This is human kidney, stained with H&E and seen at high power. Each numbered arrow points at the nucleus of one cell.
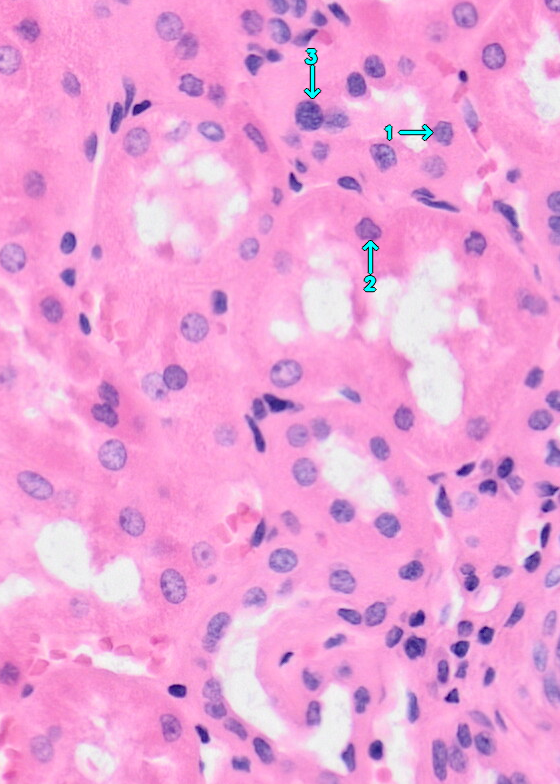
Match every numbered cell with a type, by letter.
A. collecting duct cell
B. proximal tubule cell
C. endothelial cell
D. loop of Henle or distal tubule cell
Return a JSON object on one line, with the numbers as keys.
{"1": "D", "2": "B", "3": "D"}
